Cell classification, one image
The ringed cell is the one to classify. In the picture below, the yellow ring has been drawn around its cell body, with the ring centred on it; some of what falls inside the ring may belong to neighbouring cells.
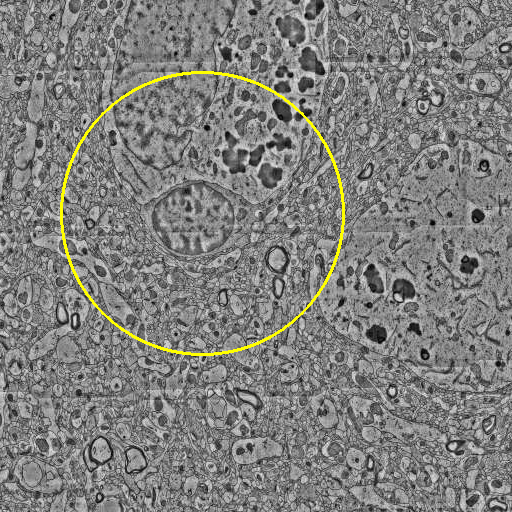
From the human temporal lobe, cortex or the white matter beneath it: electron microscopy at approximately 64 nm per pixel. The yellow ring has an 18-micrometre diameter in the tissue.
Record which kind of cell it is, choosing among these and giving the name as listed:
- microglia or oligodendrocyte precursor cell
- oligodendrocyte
oligodendrocyte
